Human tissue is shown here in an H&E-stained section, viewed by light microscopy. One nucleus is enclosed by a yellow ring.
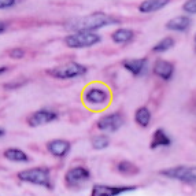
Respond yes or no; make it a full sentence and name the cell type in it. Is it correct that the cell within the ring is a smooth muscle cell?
Yes, in this section the cell within the ring is a smooth muscle cell.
